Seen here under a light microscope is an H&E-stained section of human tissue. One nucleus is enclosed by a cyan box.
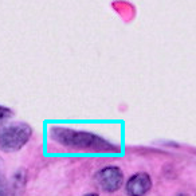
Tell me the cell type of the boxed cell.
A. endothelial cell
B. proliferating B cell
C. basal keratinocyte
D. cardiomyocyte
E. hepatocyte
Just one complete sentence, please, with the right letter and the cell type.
Option A is correct in that the boxed cell is an endothelial cell.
